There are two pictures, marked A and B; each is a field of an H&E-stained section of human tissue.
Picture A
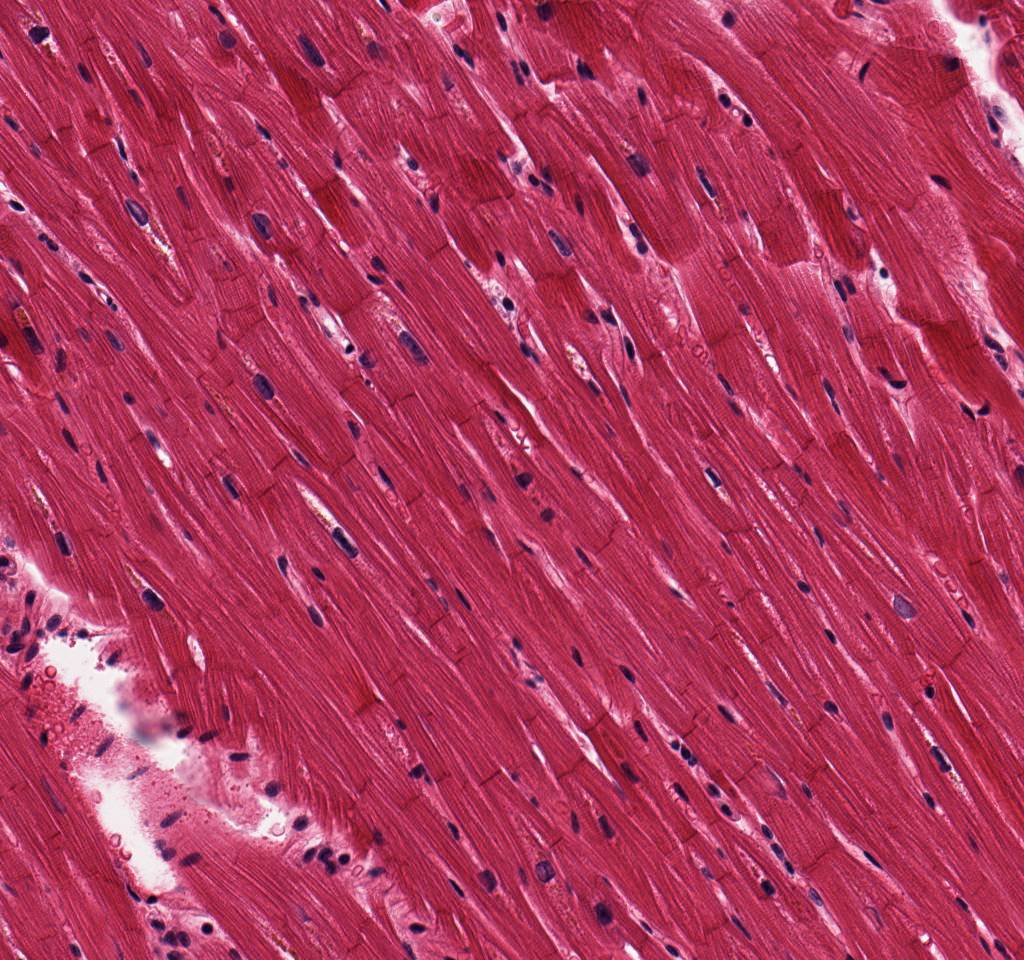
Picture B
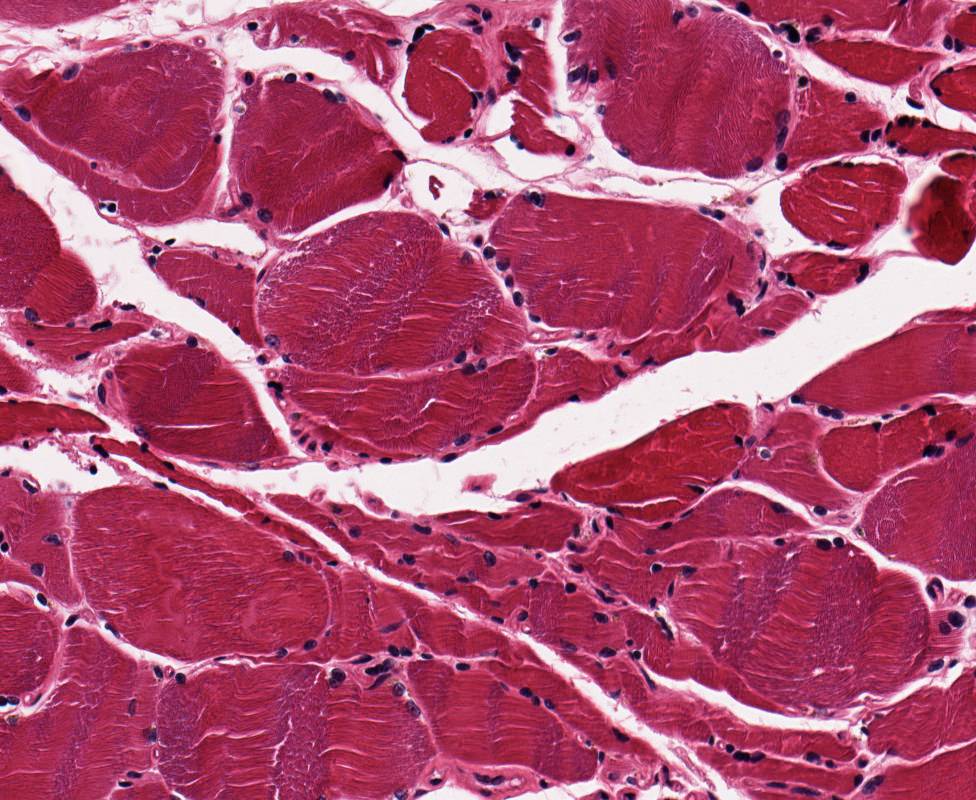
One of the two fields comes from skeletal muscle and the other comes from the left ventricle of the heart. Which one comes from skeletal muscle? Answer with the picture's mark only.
B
